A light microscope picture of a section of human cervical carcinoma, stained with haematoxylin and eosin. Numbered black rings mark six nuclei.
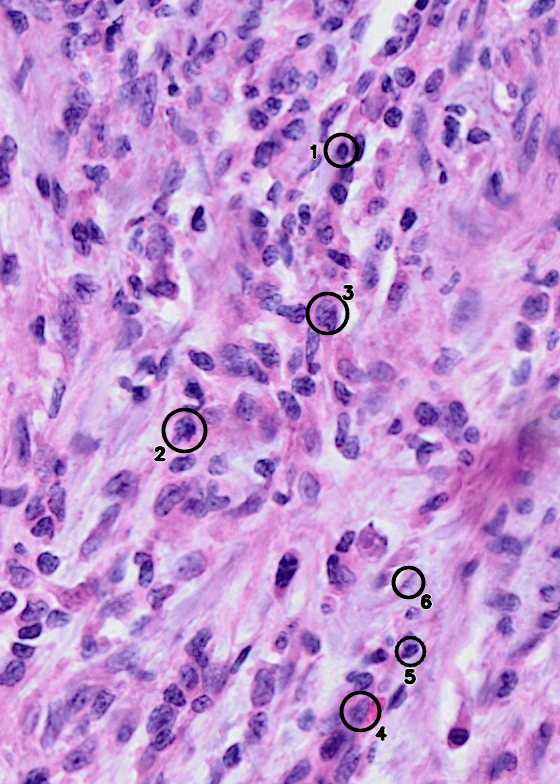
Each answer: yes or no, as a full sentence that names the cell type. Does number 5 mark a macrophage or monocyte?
No, that is wrong: cell 5 is a lymphocyte, and not a macrophage or monocyte.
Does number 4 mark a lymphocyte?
No, the cell at marker 4 is not a lymphocyte; it is an endothelial cell.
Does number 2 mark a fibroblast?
No, it's not a fibroblast at number 2; that cell is a lymphocyte.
